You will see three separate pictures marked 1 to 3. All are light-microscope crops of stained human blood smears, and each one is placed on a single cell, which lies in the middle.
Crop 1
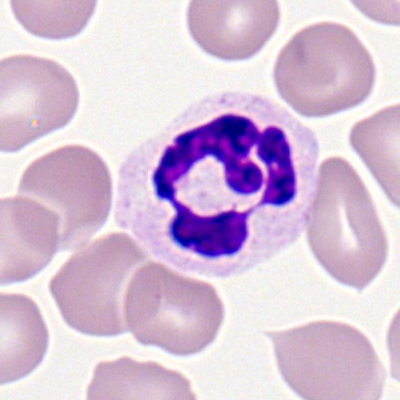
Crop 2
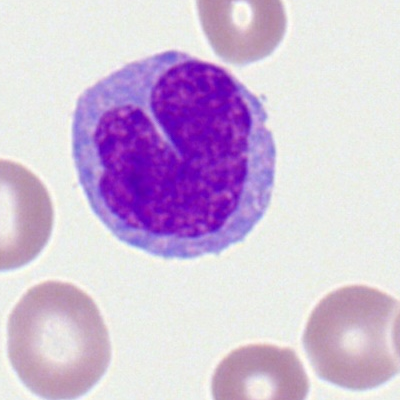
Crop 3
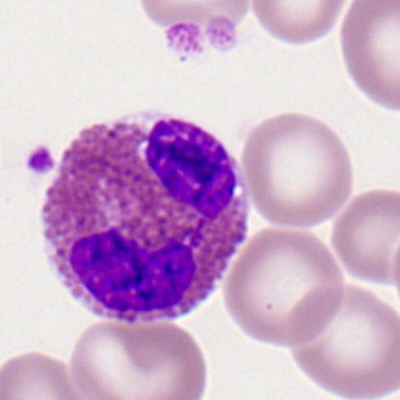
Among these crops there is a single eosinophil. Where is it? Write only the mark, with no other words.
3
